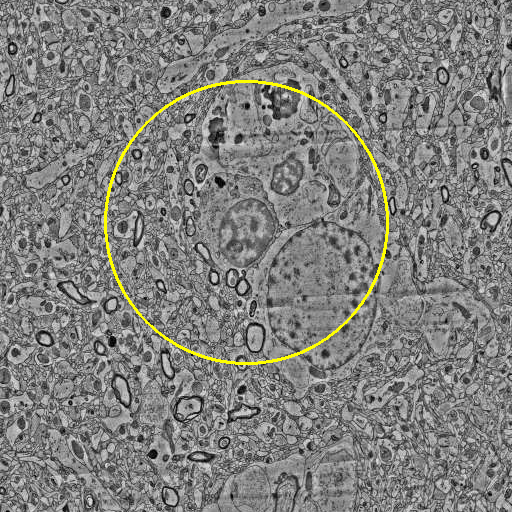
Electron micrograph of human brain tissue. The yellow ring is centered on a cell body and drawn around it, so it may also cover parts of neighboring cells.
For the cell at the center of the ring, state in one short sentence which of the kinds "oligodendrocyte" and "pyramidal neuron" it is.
This ring is centered on an oligodendrocyte.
